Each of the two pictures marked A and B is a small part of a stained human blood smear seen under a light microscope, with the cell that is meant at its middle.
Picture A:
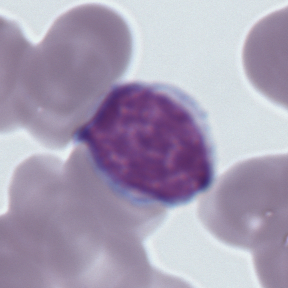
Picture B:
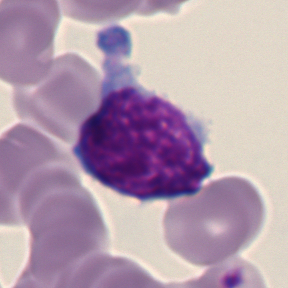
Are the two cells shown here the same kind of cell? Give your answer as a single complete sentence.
Yes, they are the same type: both are typical lymphocytes.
